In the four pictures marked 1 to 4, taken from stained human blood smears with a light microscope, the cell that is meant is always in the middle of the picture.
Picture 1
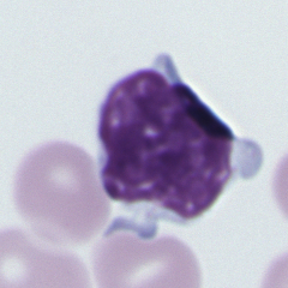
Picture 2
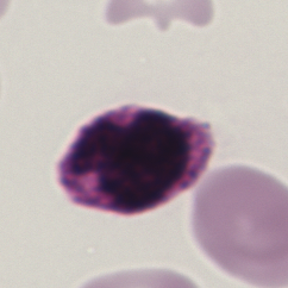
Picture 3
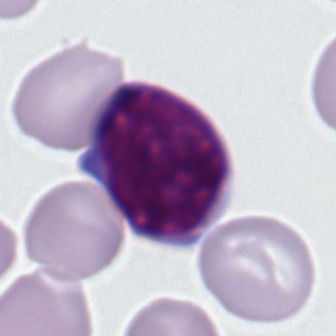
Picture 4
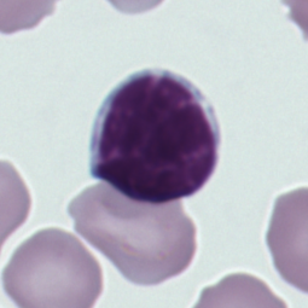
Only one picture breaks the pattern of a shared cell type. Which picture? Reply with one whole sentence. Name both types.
Unlike the rest, which show typical lymphocytes, picture 2 shows a basophil.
